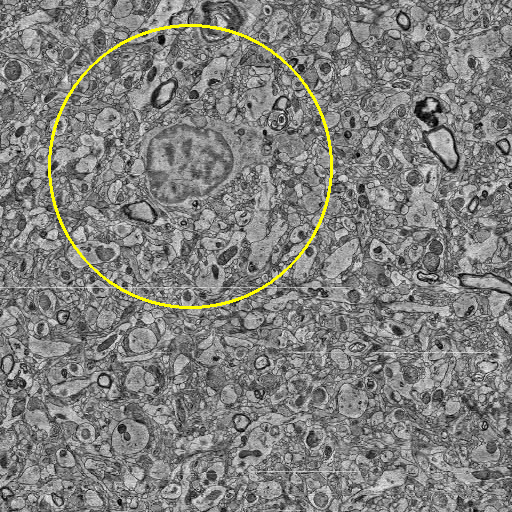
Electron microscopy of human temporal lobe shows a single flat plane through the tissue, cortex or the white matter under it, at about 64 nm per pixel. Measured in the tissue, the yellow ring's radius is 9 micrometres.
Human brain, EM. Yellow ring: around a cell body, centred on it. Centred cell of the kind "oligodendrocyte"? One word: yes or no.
yes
